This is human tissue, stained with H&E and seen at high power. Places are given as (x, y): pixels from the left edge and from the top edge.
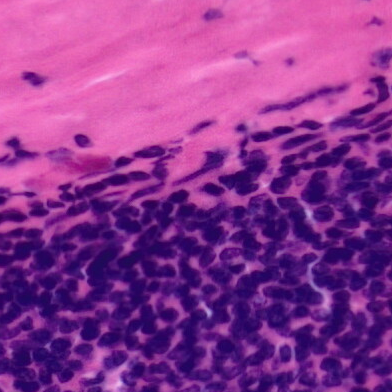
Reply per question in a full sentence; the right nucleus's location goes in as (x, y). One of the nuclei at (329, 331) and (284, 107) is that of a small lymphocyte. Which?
Of the pair, the nucleus located at (329, 331) belongs to a small lymphocyte.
